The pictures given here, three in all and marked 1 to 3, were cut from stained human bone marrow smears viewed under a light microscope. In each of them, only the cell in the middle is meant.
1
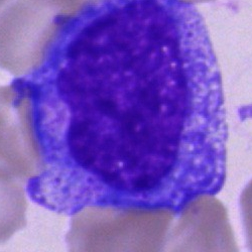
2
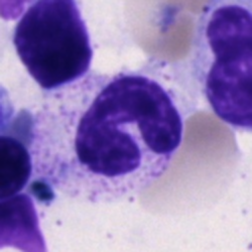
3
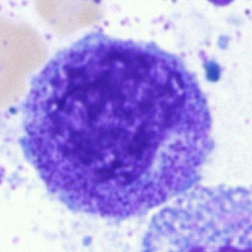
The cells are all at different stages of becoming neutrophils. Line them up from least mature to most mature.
1, 3, 2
